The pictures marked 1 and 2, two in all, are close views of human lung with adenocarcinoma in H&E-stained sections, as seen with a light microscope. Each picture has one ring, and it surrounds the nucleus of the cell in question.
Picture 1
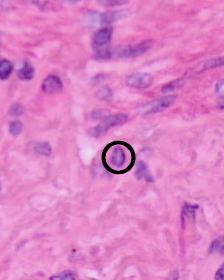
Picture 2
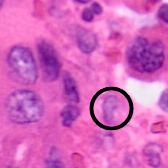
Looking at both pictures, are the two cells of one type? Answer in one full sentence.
No, the types are not the same, since picture 1 shows a mast cell and picture 2 a “macrophage or monocyte”.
